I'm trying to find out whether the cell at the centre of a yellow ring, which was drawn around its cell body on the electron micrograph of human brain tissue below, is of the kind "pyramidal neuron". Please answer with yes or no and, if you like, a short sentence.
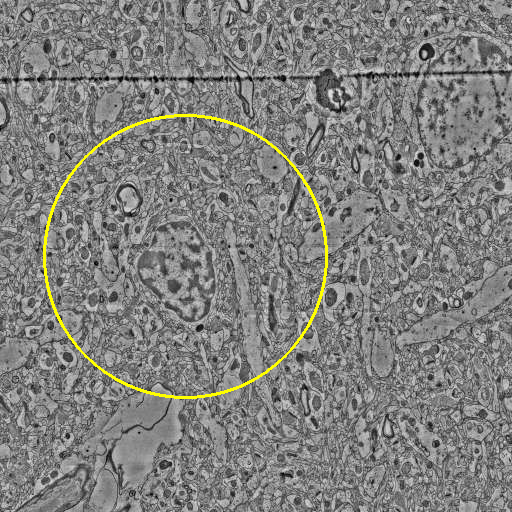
No, that cell is of another kind.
